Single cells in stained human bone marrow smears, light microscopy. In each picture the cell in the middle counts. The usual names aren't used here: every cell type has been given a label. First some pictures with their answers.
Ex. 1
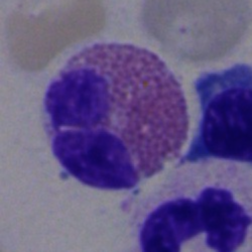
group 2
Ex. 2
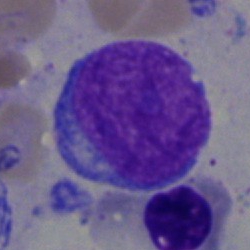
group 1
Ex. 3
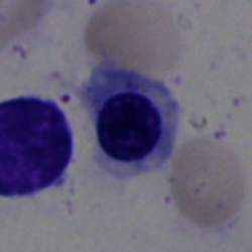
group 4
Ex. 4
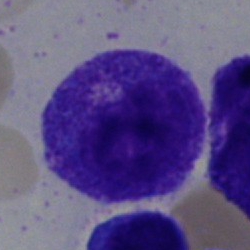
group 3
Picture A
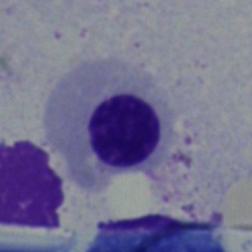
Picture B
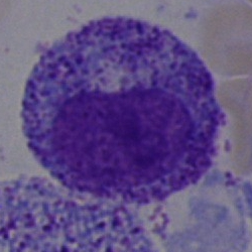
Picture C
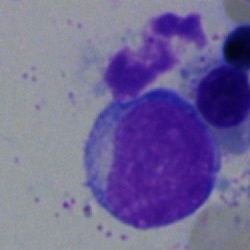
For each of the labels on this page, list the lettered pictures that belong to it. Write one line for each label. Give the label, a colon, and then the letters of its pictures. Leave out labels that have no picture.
group 1: C
group 4: A
group 3: B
